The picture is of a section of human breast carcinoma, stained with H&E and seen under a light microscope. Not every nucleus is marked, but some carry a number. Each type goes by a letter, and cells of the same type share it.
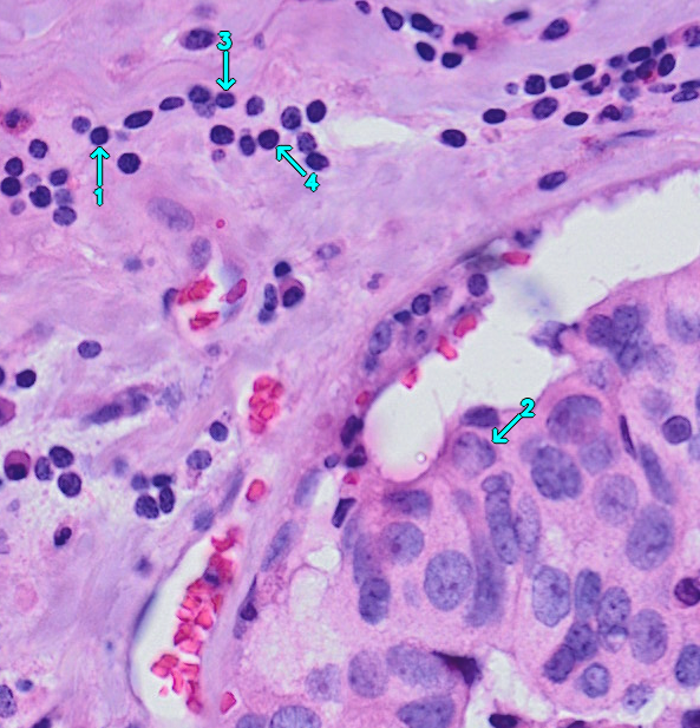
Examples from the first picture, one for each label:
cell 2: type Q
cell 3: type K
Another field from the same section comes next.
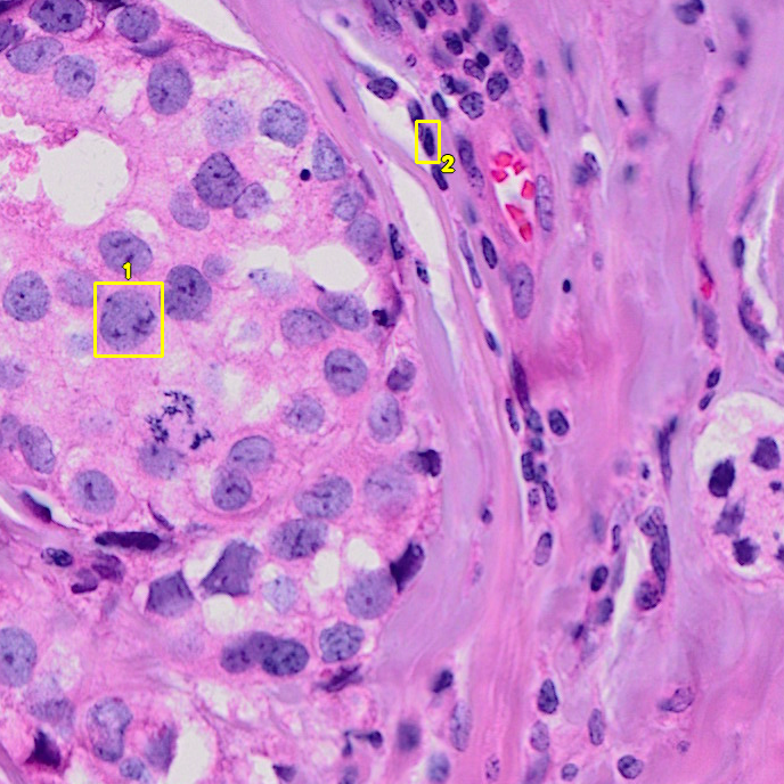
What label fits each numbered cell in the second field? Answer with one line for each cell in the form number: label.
1: type Q
2: type K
